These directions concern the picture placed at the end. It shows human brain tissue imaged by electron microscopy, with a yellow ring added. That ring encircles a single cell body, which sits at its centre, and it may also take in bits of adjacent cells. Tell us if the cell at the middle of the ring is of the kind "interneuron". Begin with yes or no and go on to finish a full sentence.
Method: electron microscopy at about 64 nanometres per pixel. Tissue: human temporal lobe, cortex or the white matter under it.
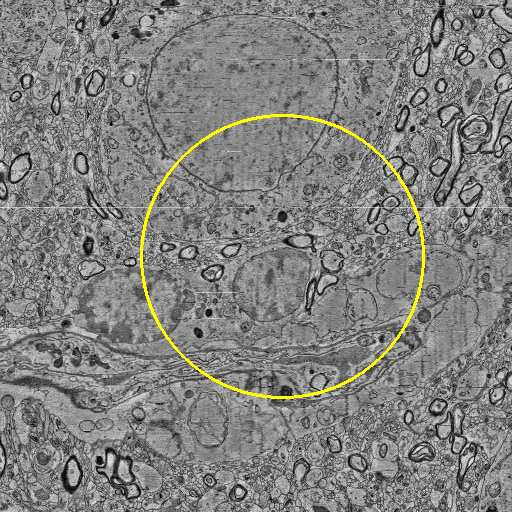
No, the cell sitting at the centre of the yellow ring in the picture belongs to another kind.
